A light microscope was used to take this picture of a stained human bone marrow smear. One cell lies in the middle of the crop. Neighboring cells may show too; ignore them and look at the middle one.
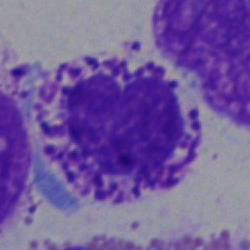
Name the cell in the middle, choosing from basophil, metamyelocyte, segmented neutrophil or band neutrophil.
basophil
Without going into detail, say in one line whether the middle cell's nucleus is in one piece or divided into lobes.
Segmentation of the nucleus into two or more lobes is the finding.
